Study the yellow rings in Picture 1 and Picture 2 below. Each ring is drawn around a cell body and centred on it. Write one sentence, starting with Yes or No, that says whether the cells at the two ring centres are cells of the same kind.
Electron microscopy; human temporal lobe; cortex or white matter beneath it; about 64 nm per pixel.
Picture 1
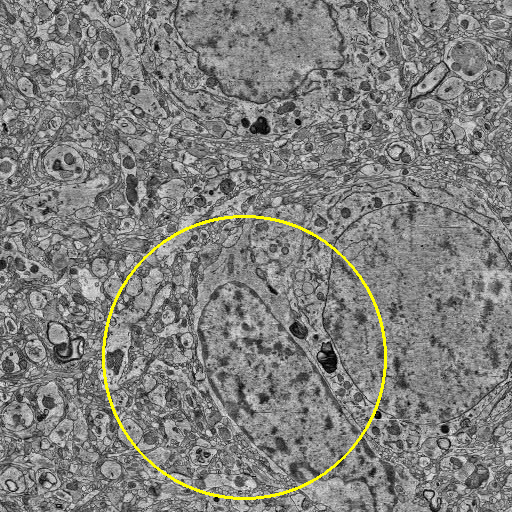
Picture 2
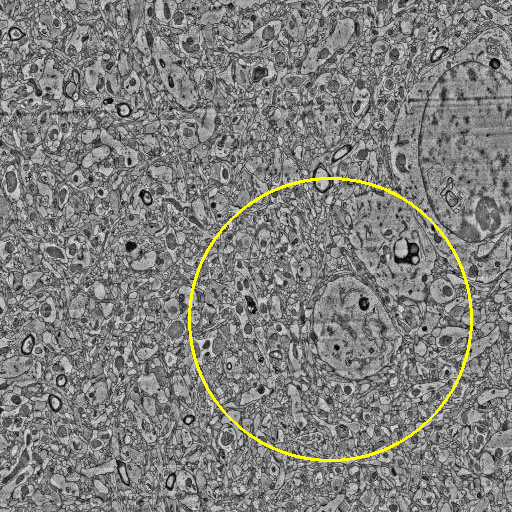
No, the cells at the ring centres are of two kinds.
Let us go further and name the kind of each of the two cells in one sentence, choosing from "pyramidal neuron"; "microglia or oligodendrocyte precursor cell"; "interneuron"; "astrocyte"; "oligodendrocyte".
The ring of the first picture is on a microglial cell or oligodendrocyte precursor cell, the ring of the second on an interneuron.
